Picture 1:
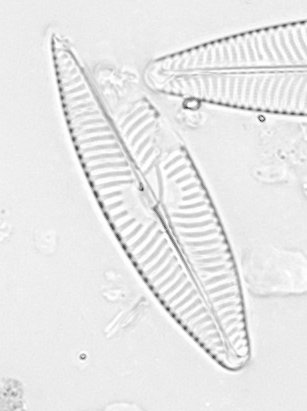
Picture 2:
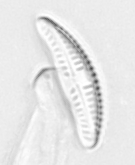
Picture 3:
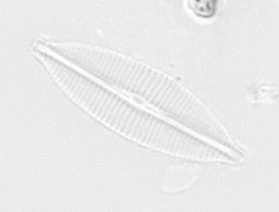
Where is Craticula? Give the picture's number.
3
